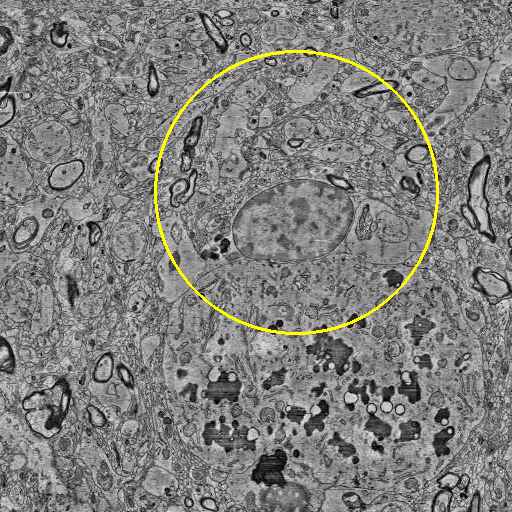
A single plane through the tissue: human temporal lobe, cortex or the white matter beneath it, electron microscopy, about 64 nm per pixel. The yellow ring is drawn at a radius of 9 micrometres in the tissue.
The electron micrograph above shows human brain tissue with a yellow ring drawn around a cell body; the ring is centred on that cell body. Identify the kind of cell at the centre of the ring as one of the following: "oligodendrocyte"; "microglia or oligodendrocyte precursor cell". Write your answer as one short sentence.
The cell at the centre of the ring is a microglial cell or oligodendrocyte precursor cell.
